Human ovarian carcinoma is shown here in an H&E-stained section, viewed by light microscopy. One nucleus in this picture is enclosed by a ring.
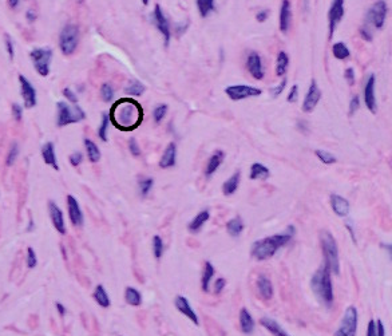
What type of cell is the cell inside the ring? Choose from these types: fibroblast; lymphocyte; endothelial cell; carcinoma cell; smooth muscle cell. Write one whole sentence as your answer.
In this section, the cell inside the ring is a smooth muscle cell.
